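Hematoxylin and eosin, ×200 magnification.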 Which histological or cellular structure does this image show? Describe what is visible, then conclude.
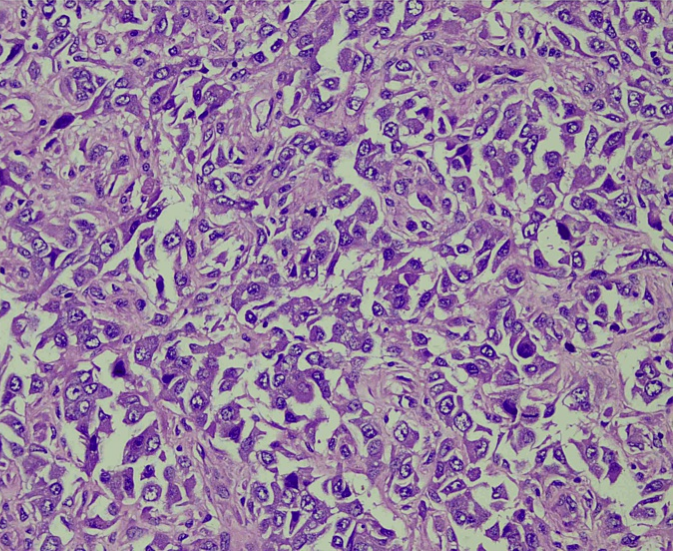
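Clusters, cords. Tumour cells lie in groups and strands separated by clear spaces and thin stroma.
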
